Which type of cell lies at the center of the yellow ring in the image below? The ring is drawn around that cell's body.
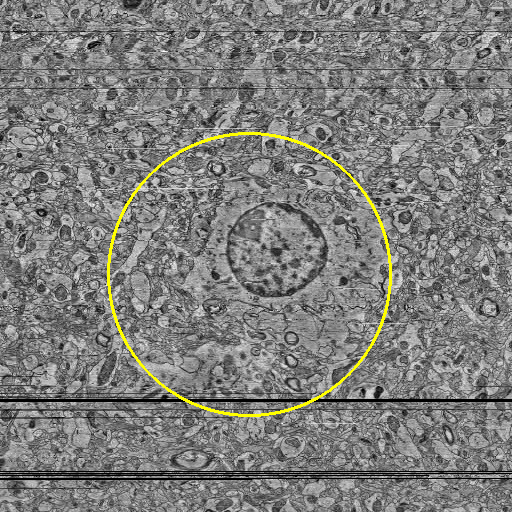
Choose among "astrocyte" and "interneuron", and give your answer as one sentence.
The cell body at the center belongs to an astrocyte.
